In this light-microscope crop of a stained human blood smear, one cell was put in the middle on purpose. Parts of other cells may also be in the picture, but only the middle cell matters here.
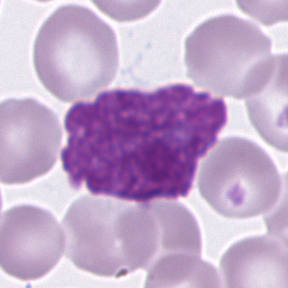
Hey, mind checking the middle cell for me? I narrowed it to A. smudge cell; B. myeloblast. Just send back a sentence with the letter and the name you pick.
Option A, which names the central cell as a smudge cell, is correct.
